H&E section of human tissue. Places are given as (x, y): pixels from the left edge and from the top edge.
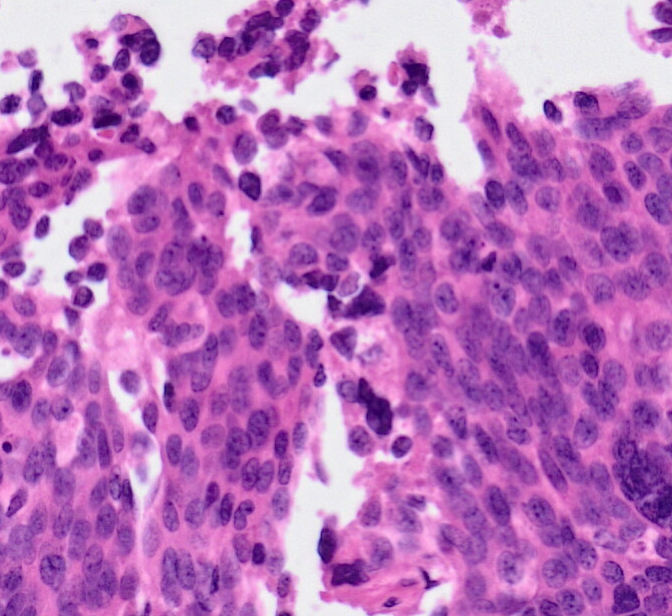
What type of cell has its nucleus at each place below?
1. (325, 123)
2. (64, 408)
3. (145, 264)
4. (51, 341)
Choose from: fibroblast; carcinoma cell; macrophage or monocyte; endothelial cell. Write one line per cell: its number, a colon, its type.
1: carcinoma cell
2: macrophage or monocyte
3: carcinoma cell
4: carcinoma cell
